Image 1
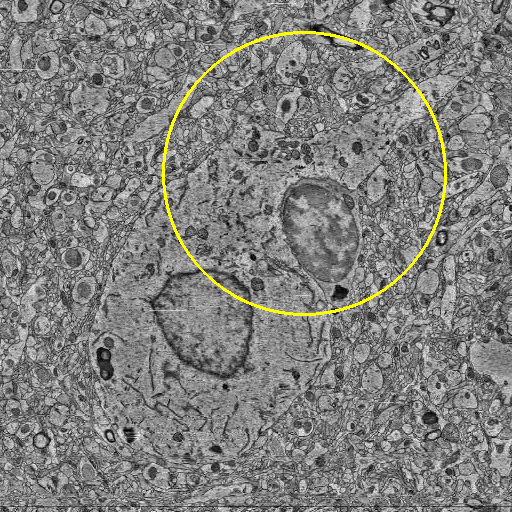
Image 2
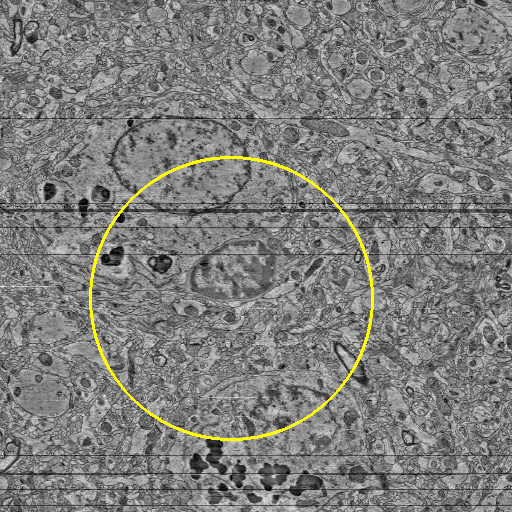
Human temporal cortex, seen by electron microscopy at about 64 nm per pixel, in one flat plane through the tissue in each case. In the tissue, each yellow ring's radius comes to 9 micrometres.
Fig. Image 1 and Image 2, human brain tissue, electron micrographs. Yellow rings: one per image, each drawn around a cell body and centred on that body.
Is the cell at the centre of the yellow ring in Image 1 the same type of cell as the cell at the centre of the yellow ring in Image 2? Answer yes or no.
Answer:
yes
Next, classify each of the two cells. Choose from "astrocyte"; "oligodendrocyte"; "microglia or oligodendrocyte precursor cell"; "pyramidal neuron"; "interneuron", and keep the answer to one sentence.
In each picture the ringed cell is an oligodendrocyte.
